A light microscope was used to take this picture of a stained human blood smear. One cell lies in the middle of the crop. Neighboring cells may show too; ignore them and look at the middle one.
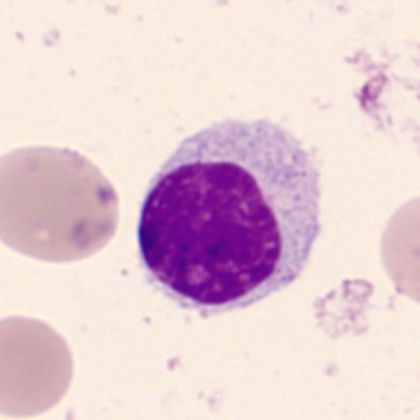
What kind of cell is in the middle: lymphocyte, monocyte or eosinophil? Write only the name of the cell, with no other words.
lymphocyte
